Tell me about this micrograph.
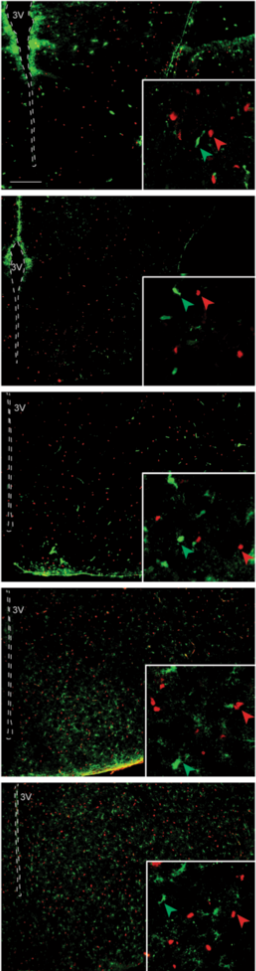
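In the insets the green cells have irregular bodies with short branching processes, and the red nuclei lie apart from them without overlap. The green labeling is bright along the ventricle wall and the basal surface of the tissue. In the lower images the green cells become far more numerous and fill much of the tissue with a fine meshwork.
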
